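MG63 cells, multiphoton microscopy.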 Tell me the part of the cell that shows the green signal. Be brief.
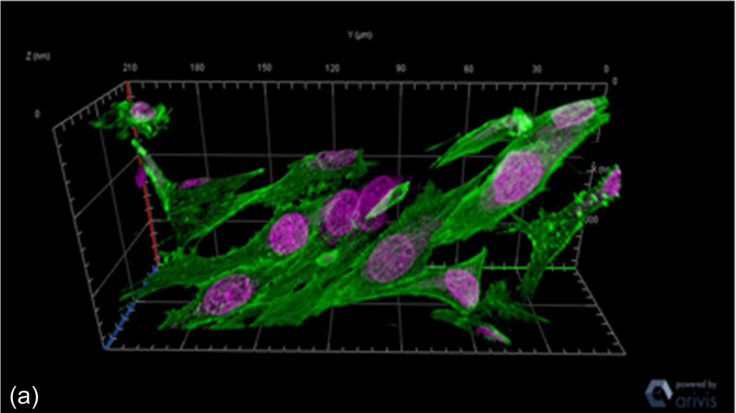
Actin filaments.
